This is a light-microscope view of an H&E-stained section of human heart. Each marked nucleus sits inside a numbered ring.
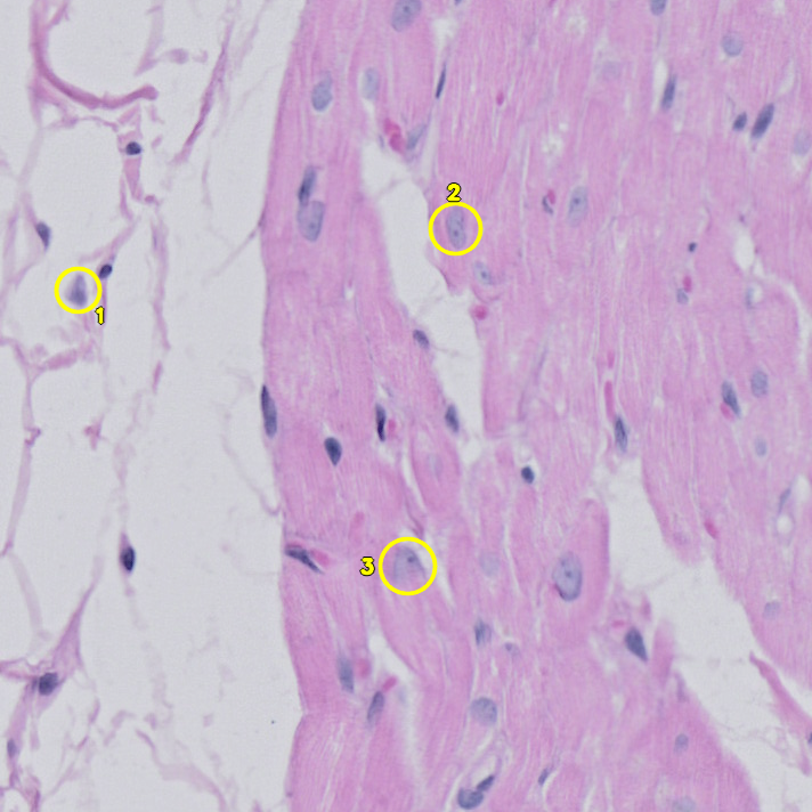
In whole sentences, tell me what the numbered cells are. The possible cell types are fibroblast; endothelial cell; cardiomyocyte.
Cell 1 is a fibroblast. Cells 2 and 3 are cardiomyocytes.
